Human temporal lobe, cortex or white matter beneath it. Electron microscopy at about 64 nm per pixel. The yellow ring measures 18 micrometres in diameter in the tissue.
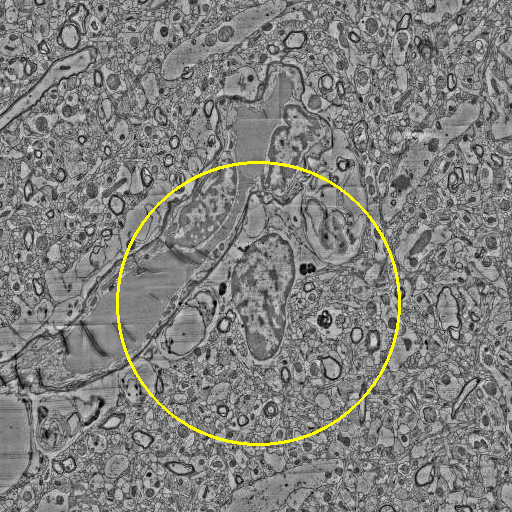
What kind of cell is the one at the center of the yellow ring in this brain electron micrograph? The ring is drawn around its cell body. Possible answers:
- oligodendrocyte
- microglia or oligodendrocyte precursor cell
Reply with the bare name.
microglia or oligodendrocyte precursor cell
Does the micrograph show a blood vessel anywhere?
Yes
